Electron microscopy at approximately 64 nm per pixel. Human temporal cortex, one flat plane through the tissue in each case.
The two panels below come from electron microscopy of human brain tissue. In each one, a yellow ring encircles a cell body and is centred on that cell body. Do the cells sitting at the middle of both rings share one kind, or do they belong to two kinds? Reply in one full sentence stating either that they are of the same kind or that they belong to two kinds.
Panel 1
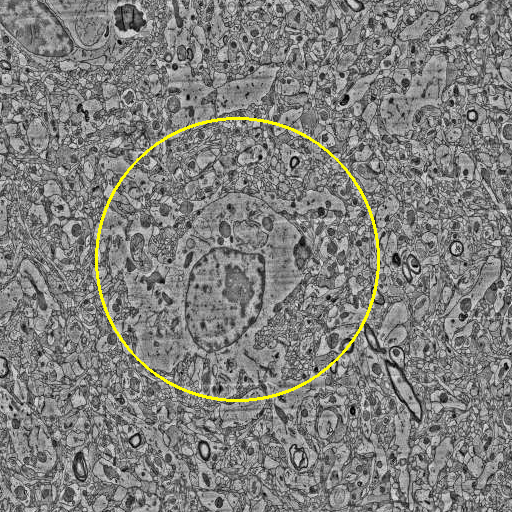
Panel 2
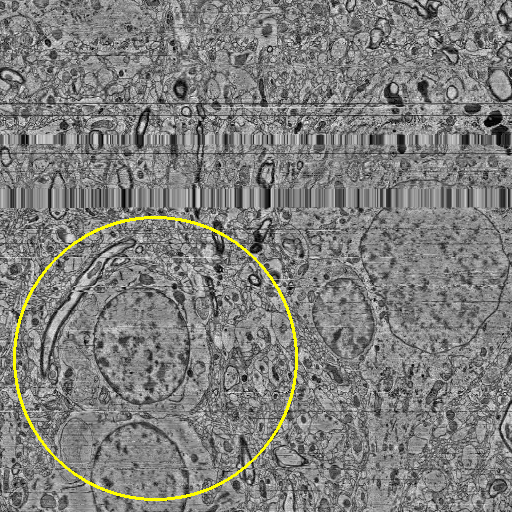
The cells at the centres of the two rings are of the same kind.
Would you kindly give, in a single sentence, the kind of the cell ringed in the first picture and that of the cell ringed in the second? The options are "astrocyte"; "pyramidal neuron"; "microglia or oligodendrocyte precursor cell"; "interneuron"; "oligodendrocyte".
The first and the second cell are each an astrocyte.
